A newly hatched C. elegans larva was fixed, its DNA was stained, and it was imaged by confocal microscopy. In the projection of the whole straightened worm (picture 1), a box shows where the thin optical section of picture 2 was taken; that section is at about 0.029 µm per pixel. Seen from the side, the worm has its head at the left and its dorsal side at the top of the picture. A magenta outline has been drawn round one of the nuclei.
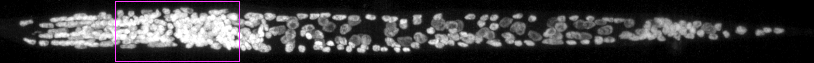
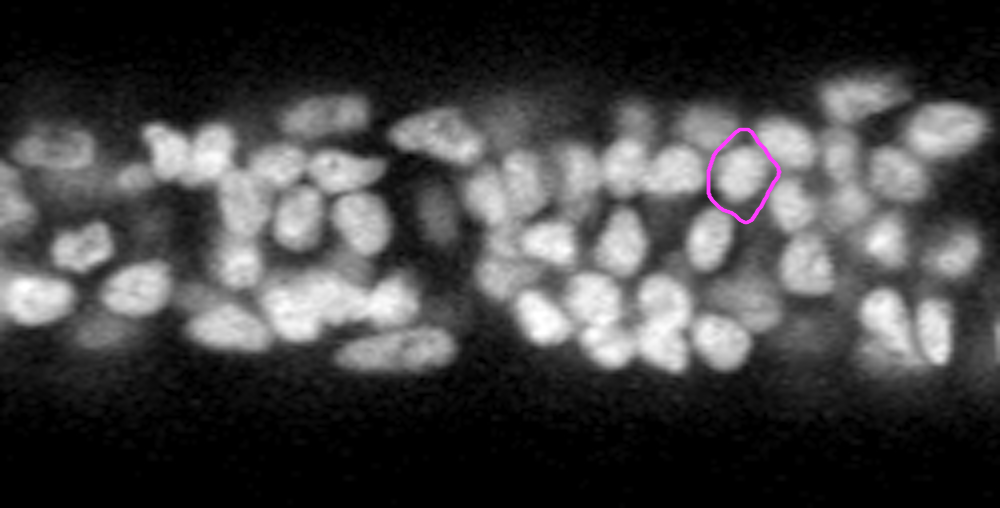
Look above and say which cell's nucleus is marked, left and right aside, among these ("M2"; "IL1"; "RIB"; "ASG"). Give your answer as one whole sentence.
This is the nucleus of ASG, a neuron.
